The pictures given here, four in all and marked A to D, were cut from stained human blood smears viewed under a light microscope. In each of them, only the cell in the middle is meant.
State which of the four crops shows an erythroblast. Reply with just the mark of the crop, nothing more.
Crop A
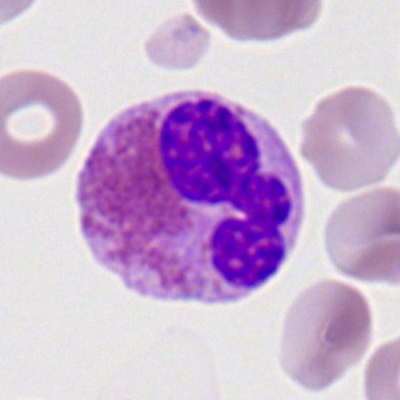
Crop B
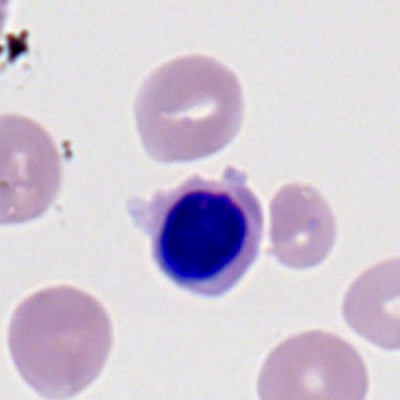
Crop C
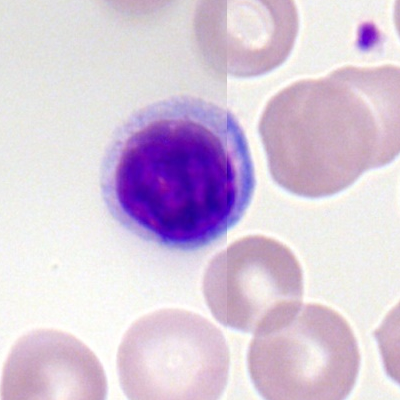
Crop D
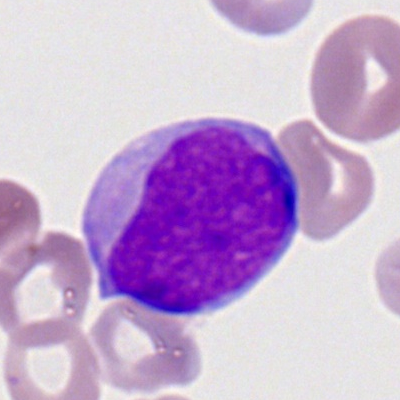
B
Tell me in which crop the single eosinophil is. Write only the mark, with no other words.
A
